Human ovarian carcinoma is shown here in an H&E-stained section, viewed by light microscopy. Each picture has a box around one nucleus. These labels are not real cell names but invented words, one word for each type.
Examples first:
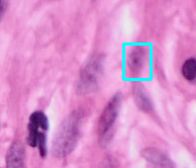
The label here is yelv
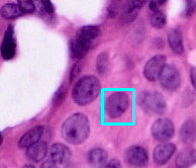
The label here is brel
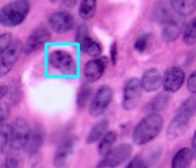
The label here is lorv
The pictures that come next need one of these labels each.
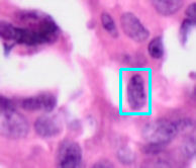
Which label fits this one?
lorv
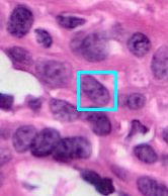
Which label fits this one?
brel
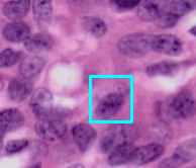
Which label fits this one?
brel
